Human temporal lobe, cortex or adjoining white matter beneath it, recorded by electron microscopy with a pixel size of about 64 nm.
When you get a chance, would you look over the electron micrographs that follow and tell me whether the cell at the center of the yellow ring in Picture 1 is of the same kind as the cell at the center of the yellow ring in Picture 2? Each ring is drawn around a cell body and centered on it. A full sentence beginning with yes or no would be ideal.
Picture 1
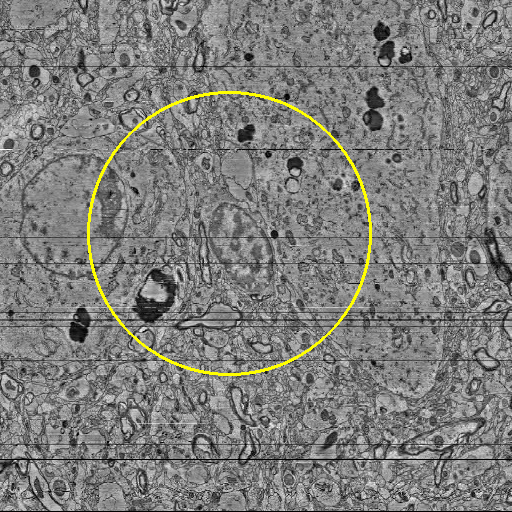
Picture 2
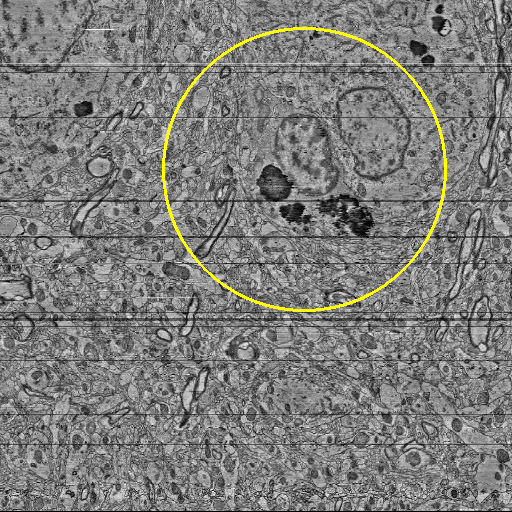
Yes, the two cells are of the same kind.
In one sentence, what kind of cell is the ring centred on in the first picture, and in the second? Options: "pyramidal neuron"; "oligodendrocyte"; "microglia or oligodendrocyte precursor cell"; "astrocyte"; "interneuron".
Both the first and the second picture show an oligodendrocyte in the ring.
